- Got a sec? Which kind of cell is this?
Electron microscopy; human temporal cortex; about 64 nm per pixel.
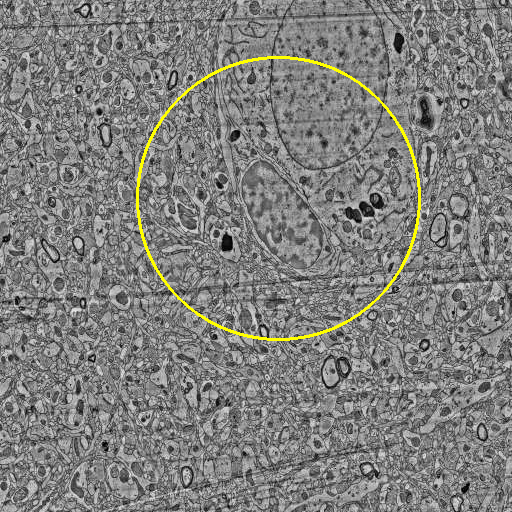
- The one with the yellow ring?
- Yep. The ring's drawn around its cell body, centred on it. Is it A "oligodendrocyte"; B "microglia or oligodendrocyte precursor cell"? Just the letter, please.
B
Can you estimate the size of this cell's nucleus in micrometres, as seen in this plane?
In this plane, about 7 micrometres in length and 4 in width.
